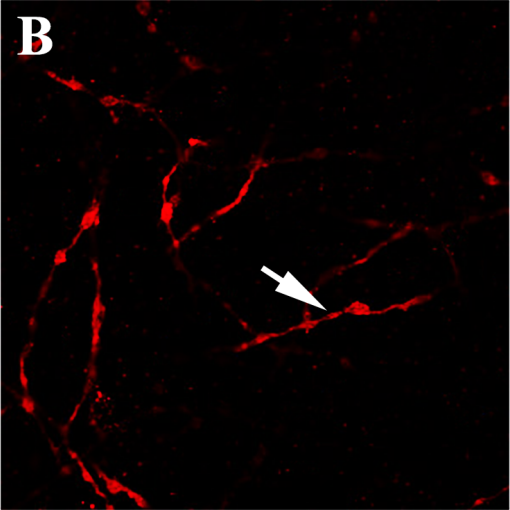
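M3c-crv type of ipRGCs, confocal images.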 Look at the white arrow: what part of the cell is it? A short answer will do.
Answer: Dendrite.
